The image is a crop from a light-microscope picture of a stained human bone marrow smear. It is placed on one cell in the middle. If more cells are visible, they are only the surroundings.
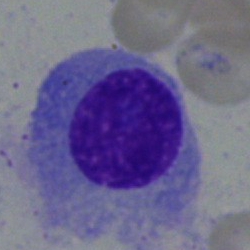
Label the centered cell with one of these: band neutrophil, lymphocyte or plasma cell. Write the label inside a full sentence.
In the middle of this smear crop, the cell is a plasma cell.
